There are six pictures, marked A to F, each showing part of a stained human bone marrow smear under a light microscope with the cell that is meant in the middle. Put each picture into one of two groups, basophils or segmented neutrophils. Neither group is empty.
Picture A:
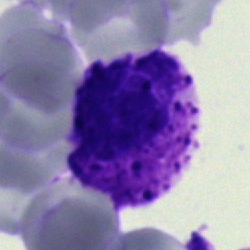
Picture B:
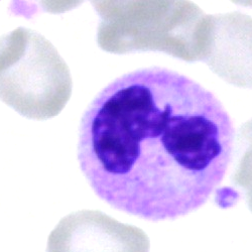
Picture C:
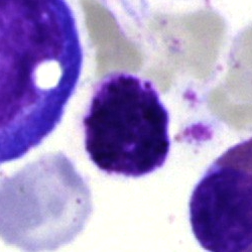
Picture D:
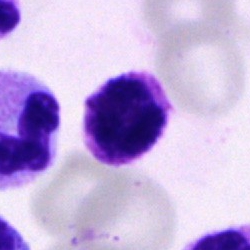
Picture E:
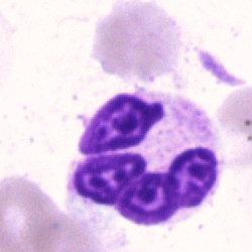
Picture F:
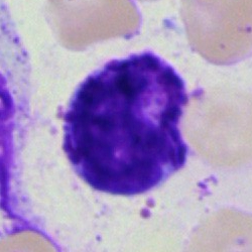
A: basophil
B: segmented neutrophil
C: basophil
D: basophil
E: segmented neutrophil
F: basophil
